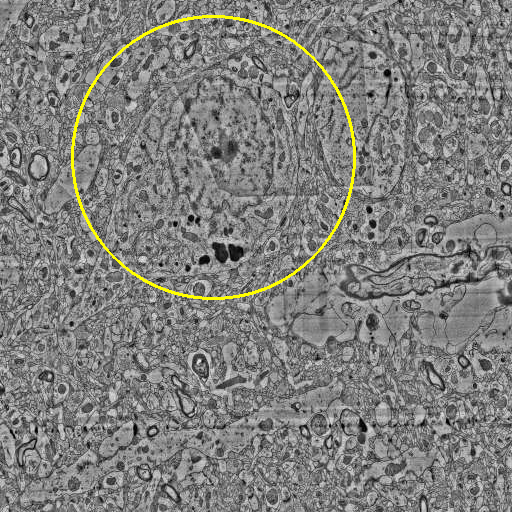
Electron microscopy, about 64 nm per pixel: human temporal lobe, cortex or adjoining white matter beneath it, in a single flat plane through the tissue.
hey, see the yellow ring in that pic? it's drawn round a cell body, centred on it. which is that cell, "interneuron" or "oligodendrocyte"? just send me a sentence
The cell in the ring is an interneuron.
